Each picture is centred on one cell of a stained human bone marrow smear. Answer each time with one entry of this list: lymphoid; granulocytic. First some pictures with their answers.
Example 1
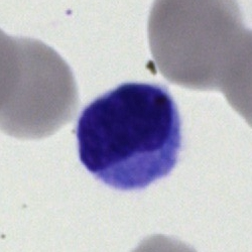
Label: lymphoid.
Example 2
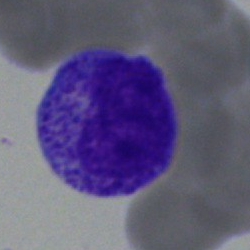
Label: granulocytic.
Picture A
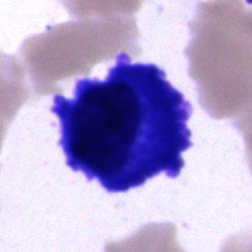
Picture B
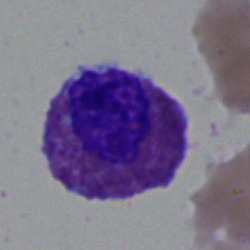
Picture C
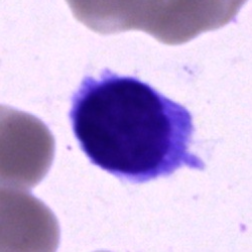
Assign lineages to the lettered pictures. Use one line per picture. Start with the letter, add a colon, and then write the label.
A: lymphoid.
B: granulocytic.
C: lymphoid.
